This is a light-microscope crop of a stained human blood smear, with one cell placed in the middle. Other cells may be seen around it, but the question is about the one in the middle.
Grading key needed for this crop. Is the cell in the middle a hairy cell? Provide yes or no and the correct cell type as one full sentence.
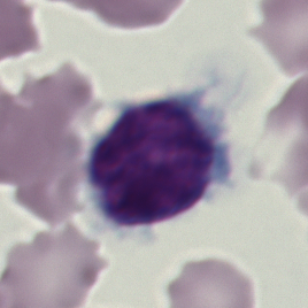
Yes, the cell at the middle is a hairy cell.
